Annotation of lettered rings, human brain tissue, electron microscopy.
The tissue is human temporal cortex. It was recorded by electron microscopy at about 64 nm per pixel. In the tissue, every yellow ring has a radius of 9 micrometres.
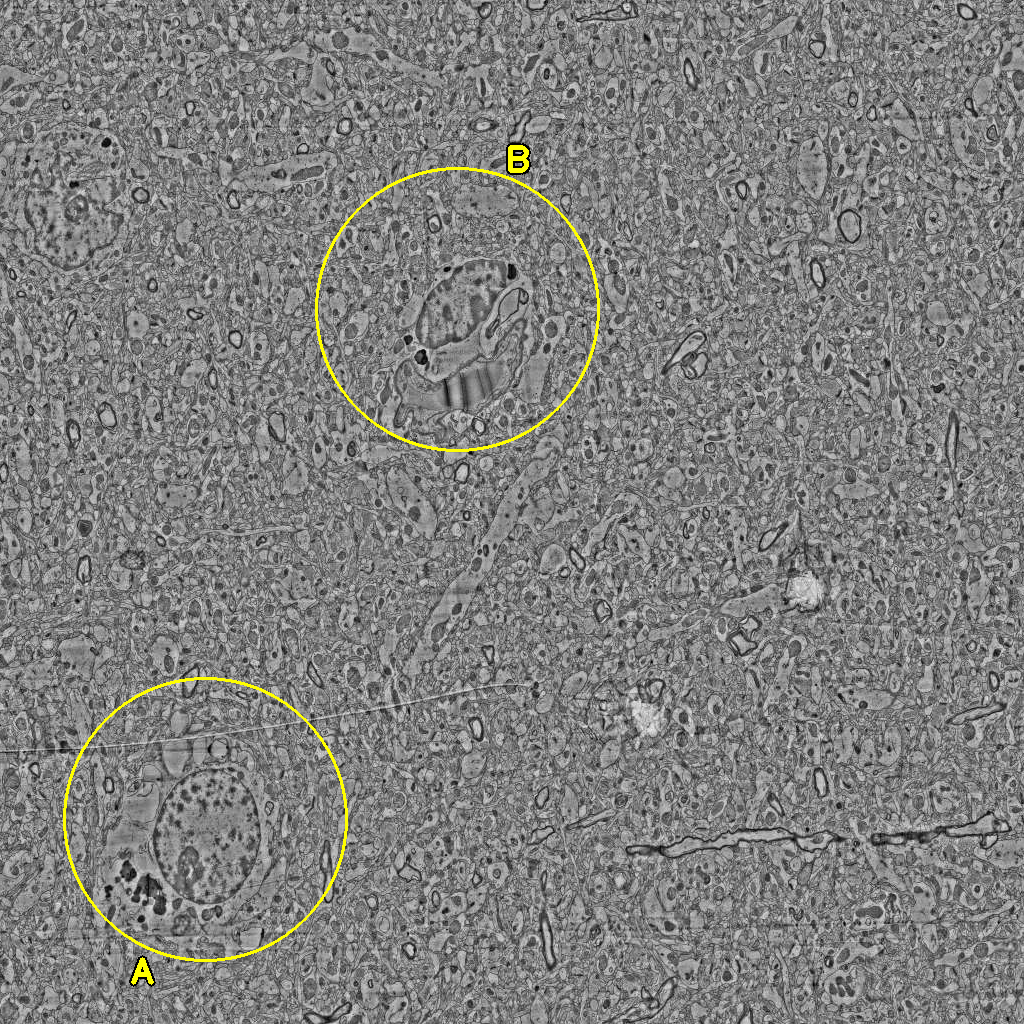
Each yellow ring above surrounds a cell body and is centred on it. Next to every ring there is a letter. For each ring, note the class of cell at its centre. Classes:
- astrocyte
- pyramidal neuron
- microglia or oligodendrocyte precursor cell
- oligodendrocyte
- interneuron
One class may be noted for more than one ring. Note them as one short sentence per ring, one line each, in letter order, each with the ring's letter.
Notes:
The class noted at ring A is an astrocyte.
The class noted at ring B is a microglial cell or oligodendrocyte precursor cell.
